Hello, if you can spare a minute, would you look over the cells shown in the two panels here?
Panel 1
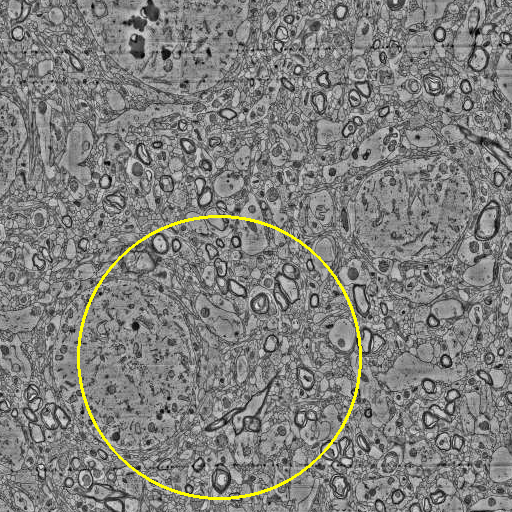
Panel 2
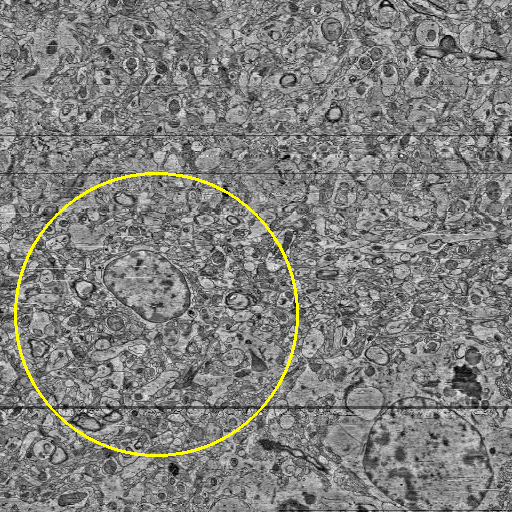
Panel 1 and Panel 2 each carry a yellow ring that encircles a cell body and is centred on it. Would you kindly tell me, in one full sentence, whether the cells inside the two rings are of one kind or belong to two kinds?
The cells at the centres of the rings in Panel 1 and Panel 2 belong to two kinds.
